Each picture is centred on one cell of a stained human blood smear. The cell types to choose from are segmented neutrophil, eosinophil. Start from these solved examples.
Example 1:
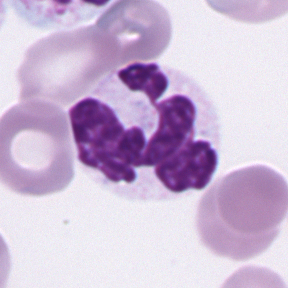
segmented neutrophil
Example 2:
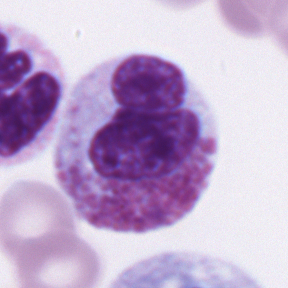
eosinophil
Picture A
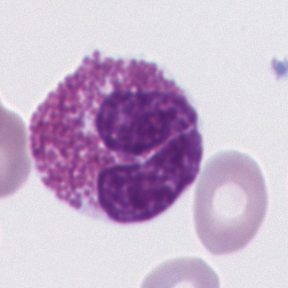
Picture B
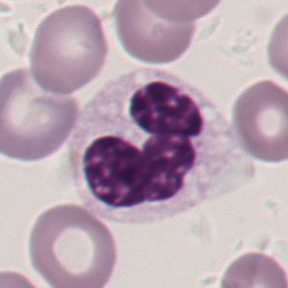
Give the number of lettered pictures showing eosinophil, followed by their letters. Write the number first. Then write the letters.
1: A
